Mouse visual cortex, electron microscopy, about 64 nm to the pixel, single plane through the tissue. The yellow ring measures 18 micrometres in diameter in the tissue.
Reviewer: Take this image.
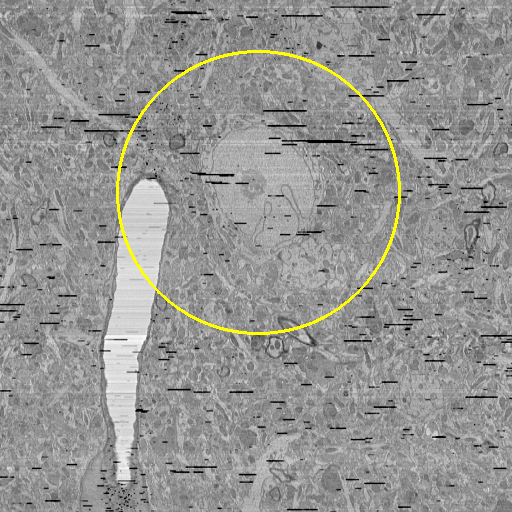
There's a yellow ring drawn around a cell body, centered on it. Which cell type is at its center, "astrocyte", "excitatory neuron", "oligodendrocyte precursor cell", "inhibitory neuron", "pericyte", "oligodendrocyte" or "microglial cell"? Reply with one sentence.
At the center of the yellow ring is an inhibitory neuron.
